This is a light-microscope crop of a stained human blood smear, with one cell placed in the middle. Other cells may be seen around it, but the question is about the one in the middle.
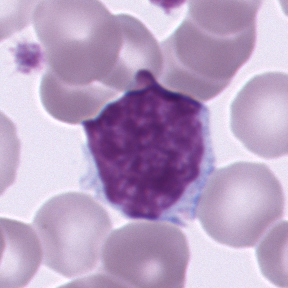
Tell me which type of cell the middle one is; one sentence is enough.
At the middle of the frame sits a typical lymphocyte.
